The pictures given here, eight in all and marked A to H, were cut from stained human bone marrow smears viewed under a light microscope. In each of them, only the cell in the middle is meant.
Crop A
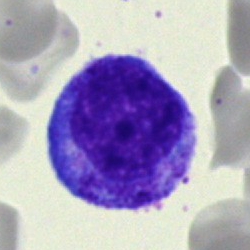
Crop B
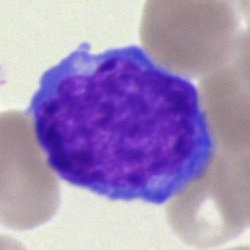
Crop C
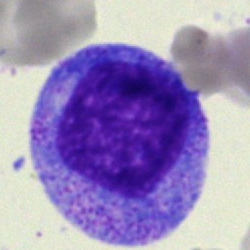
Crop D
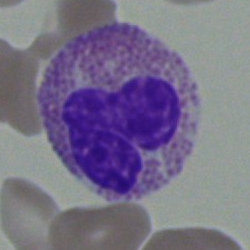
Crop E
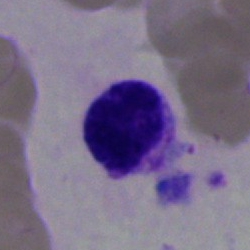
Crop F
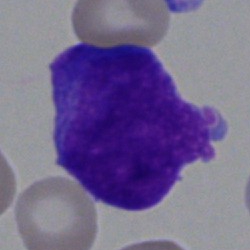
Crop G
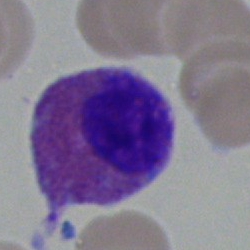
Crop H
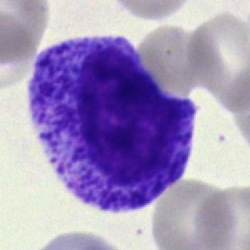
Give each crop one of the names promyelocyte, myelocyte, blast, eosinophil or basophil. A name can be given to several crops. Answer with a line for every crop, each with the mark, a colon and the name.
A: promyelocyte
B: blast
C: promyelocyte
D: eosinophil
E: basophil
F: blast
G: eosinophil
H: promyelocyte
